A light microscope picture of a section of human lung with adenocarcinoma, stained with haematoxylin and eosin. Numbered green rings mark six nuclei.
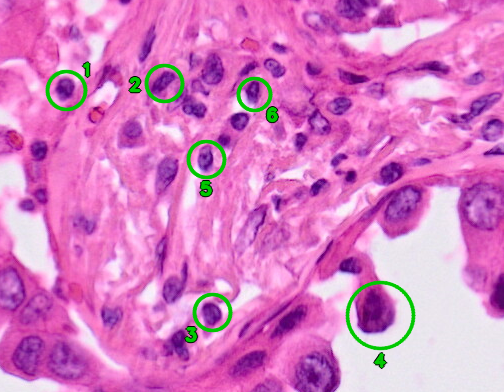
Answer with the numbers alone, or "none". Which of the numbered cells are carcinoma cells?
4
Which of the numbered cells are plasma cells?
2, 6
